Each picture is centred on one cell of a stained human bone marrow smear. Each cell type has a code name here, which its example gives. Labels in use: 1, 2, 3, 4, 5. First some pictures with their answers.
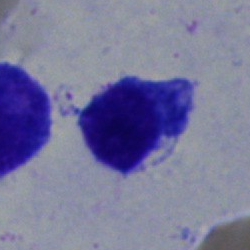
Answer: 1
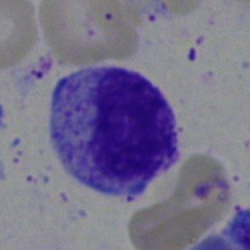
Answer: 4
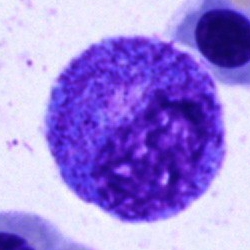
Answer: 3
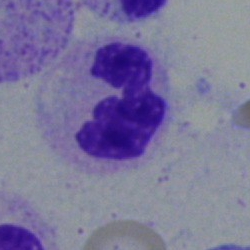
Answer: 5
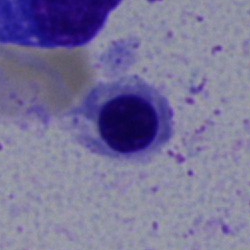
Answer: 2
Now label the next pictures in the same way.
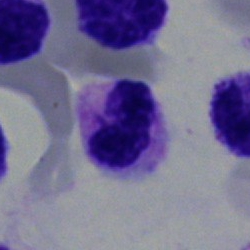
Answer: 5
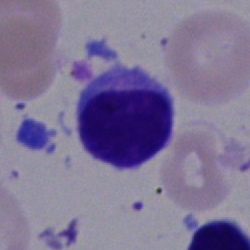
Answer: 1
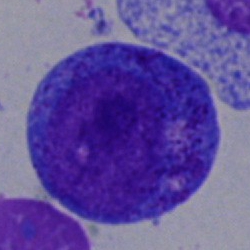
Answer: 3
